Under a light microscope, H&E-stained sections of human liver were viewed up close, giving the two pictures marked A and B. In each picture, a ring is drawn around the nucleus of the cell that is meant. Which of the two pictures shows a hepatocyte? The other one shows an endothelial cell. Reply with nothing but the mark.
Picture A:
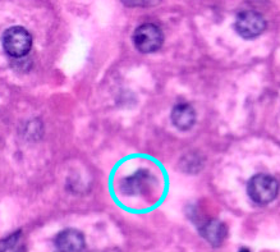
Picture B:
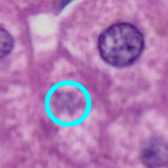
B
